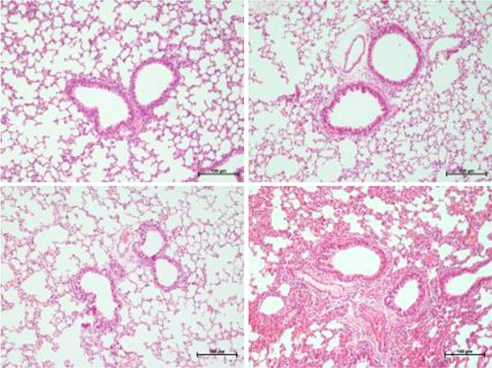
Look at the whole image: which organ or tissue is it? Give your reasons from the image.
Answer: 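Lungs. A lace-like network of thin walls around many small air spaces. Round airways lined by a folded epithelial layer. Vessels running beside the airways.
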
